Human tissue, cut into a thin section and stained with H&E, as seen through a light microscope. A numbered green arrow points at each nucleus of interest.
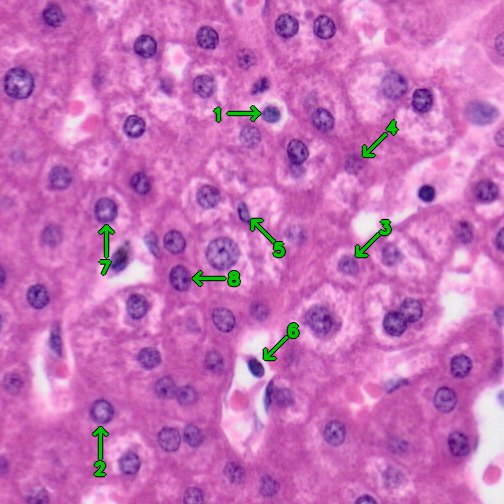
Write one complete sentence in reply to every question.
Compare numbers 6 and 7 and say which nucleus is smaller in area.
Nucleus 6 covers less area, with nucleus 7 about 2 times as large.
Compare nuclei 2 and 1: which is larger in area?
The larger nucleus is 2, at roughly 1.5 times the area of 1.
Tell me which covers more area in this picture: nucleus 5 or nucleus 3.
It is nucleus 3, which covers about 2 times the area of nucleus 5.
